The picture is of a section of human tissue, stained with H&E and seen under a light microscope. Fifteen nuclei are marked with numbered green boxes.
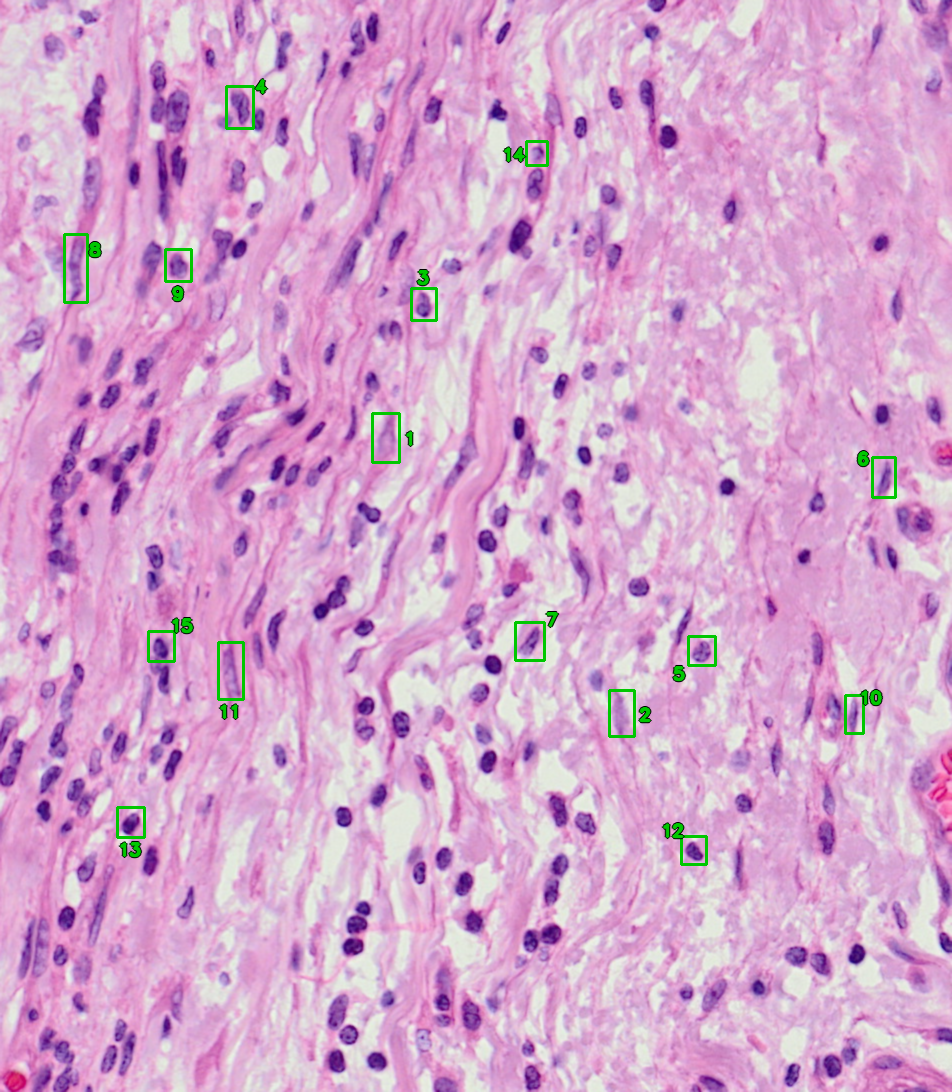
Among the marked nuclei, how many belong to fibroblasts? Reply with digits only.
6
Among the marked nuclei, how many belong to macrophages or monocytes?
2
